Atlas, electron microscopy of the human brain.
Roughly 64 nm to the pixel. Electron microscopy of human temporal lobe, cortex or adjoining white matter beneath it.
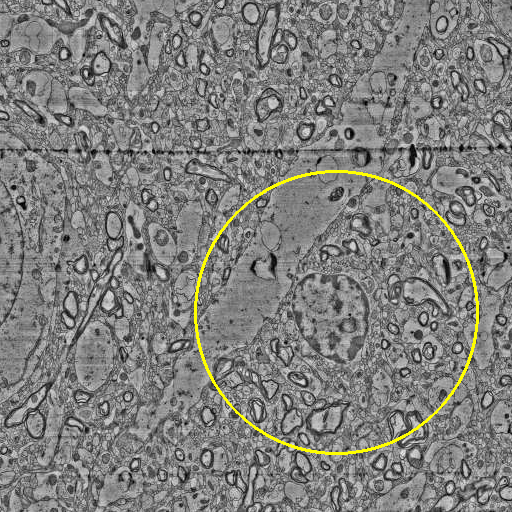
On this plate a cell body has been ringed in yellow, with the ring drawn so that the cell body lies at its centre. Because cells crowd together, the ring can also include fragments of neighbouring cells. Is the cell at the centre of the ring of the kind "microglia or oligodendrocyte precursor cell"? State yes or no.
Yes, it is of that kind.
